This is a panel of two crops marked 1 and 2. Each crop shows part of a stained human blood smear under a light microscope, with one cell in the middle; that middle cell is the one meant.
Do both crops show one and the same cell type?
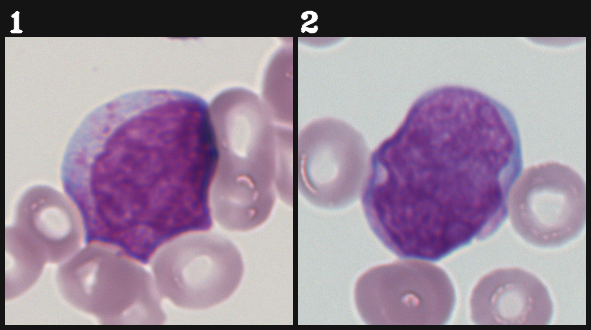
yes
